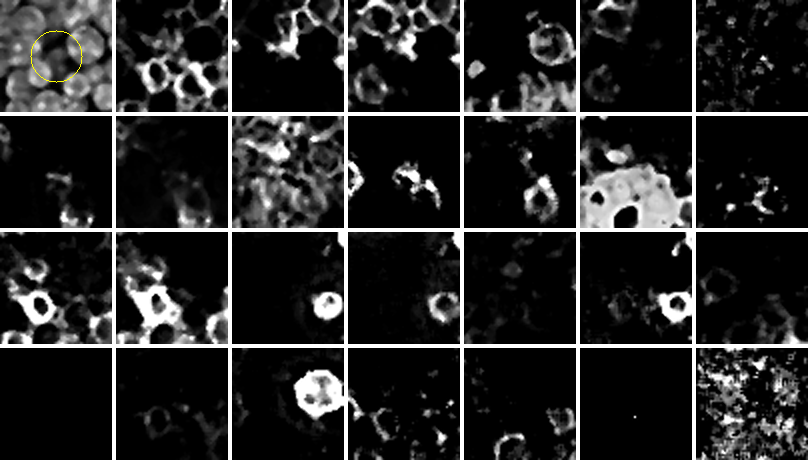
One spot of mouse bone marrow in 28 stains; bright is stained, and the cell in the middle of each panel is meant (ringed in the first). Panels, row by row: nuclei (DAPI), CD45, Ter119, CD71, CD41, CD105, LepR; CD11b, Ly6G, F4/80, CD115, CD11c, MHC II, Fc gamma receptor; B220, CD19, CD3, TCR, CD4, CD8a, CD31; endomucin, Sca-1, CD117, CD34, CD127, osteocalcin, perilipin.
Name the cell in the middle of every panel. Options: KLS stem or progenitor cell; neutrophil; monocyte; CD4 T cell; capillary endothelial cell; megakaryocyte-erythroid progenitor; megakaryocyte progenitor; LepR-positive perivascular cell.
monocyte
